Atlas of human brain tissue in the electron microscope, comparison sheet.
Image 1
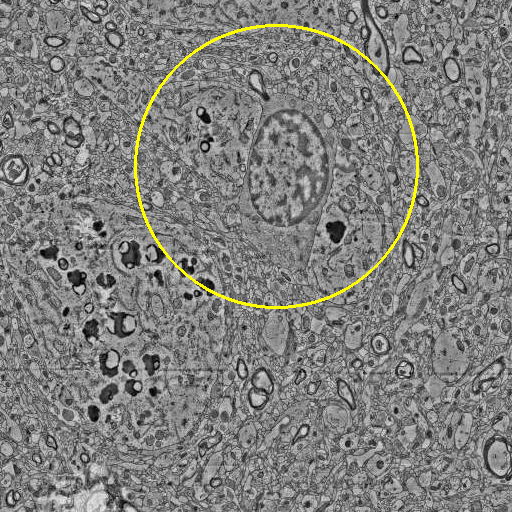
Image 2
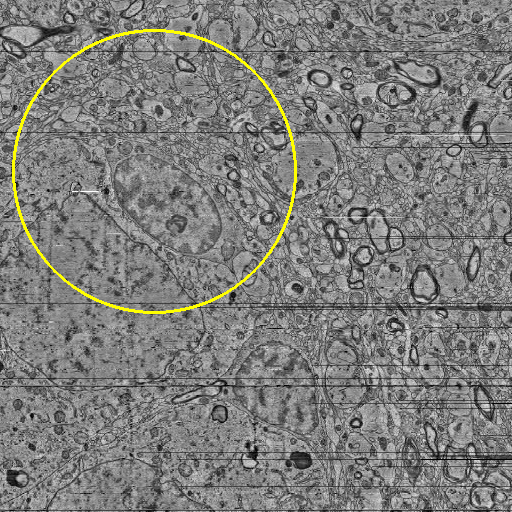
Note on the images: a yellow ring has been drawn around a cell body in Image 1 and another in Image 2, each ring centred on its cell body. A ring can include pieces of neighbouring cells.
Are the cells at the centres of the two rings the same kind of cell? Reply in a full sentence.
Yes, both cells are of the same kind.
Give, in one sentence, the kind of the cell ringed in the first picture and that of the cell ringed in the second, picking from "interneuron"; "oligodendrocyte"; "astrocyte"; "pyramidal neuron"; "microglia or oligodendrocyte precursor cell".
The ring centre holds an oligodendrocyte in each of the two pictures.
